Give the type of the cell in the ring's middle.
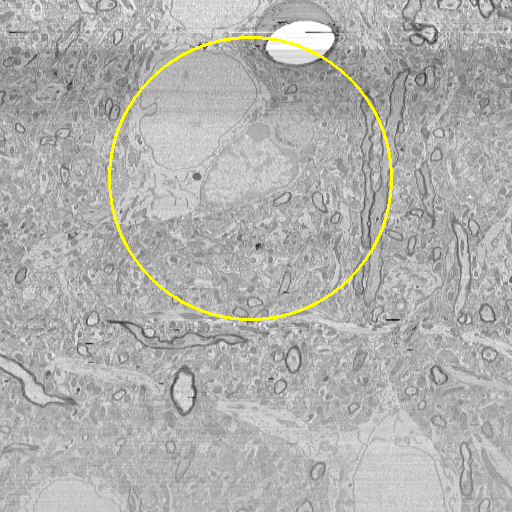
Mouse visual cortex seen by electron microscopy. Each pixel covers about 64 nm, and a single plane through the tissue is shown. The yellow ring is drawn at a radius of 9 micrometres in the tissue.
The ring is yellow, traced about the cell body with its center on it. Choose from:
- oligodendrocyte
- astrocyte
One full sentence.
Here, an oligodendrocyte is the cell lying at the center of the yellow ring.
